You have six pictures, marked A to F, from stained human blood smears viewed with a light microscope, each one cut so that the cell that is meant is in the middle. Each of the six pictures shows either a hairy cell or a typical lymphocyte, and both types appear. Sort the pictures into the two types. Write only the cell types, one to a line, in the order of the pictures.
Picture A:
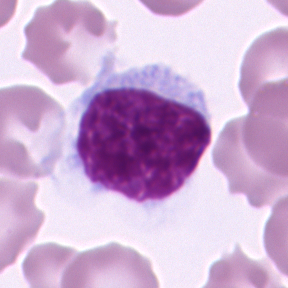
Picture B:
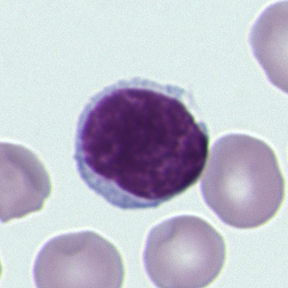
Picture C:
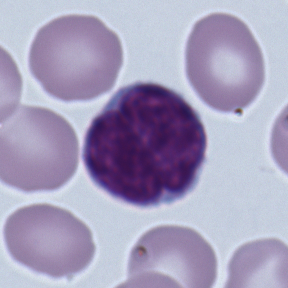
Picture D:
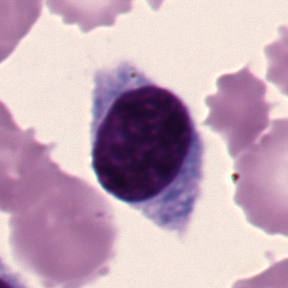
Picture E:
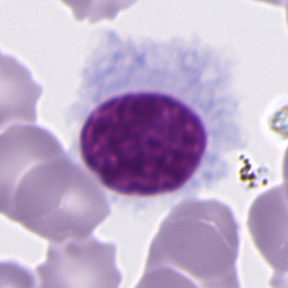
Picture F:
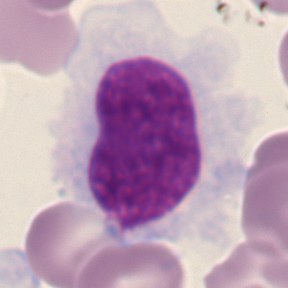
hairy cell
typical lymphocyte
typical lymphocyte
hairy cell
hairy cell
hairy cell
